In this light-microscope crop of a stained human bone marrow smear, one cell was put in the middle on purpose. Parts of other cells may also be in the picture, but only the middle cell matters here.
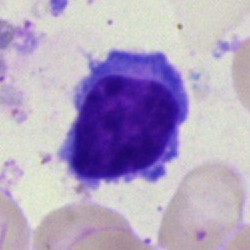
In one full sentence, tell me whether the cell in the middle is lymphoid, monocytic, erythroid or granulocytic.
The central cell originates in the lymphoid lineage.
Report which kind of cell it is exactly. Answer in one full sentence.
The cell at the centre of the field is a lymphocyte.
